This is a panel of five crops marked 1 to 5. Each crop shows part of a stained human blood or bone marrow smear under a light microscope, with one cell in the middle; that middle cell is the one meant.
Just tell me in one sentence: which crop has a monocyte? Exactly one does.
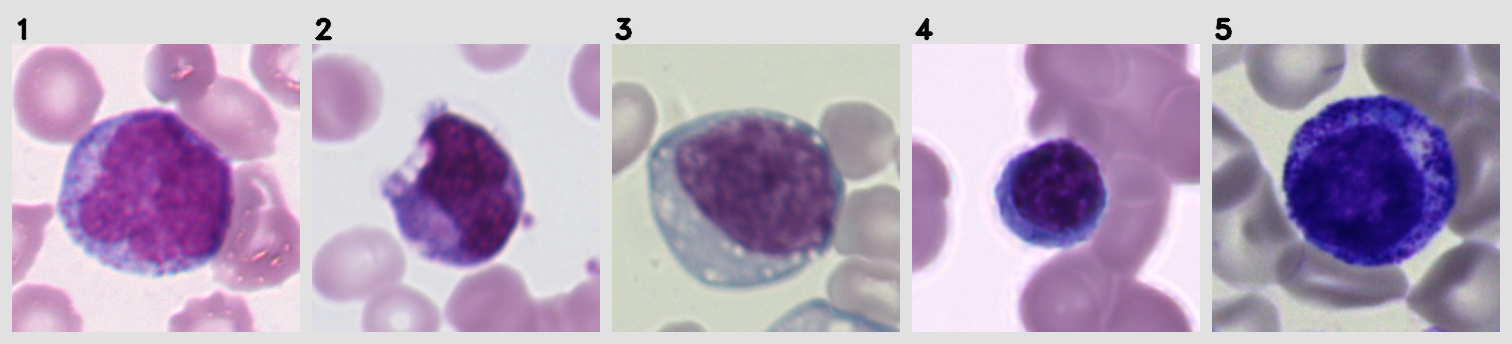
The crop that has a monocyte in the middle is crop 2.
